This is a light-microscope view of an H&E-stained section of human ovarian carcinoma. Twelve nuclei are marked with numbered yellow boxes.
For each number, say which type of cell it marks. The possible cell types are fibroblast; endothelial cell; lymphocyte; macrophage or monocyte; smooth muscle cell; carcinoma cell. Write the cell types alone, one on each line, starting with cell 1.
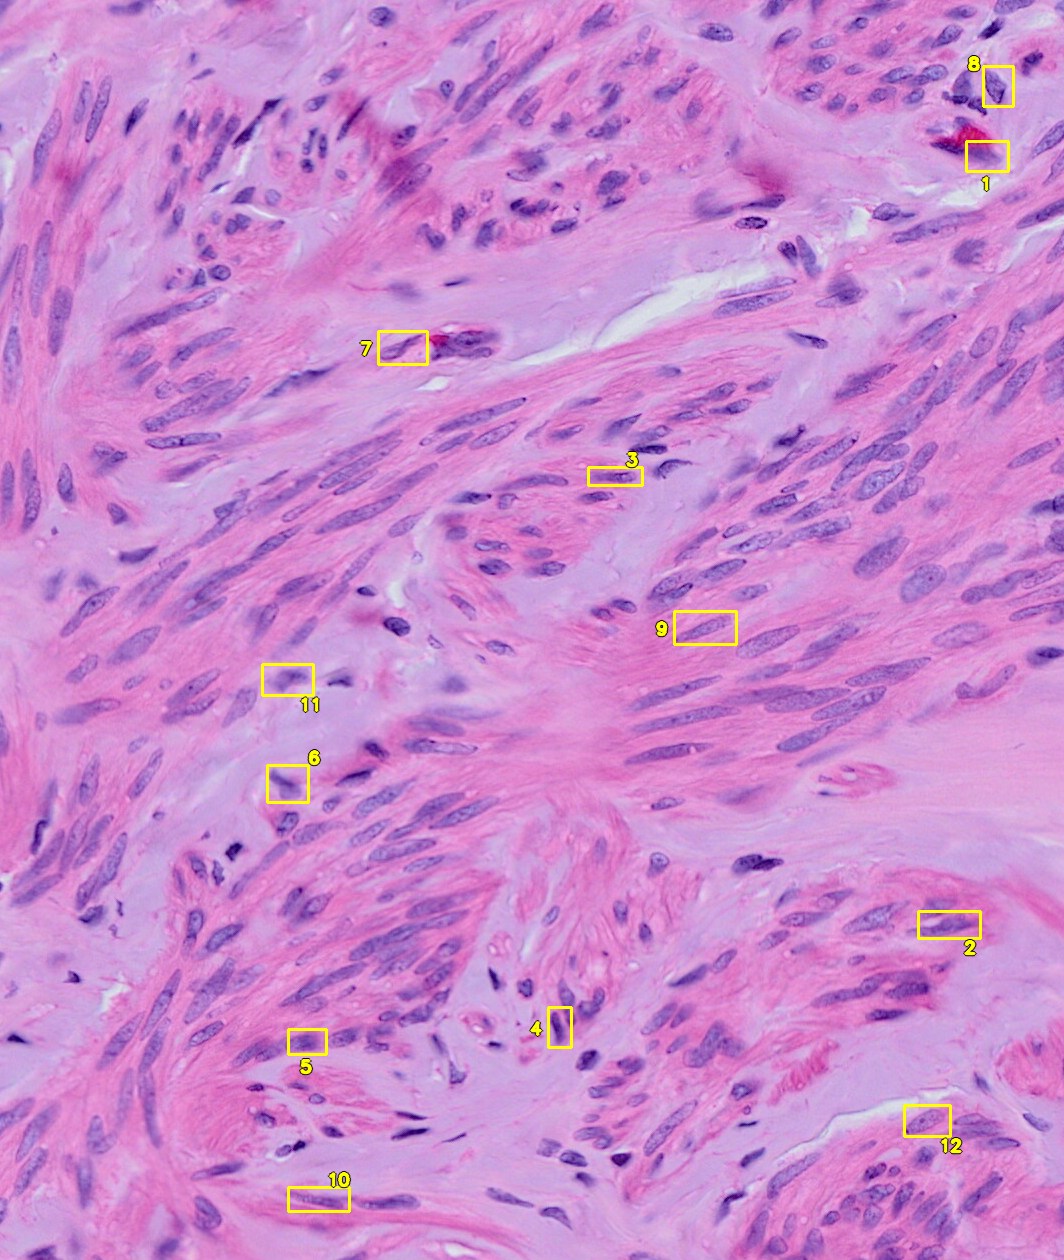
endothelial cell
smooth muscle cell
smooth muscle cell
smooth muscle cell
smooth muscle cell
fibroblast
endothelial cell
fibroblast
smooth muscle cell
smooth muscle cell
fibroblast
smooth muscle cell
